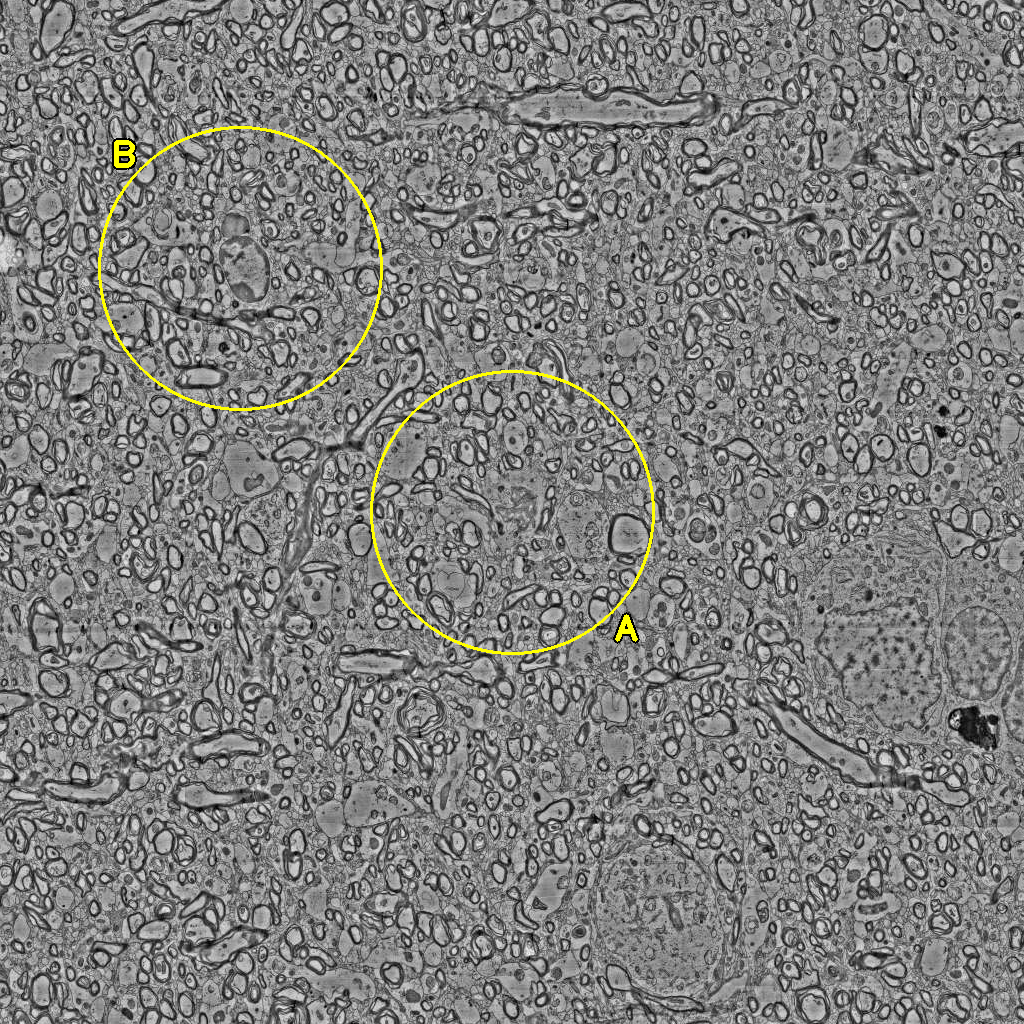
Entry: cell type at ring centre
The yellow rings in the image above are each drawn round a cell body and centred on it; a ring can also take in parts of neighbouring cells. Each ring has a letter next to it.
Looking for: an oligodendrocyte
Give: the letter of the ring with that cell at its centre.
A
